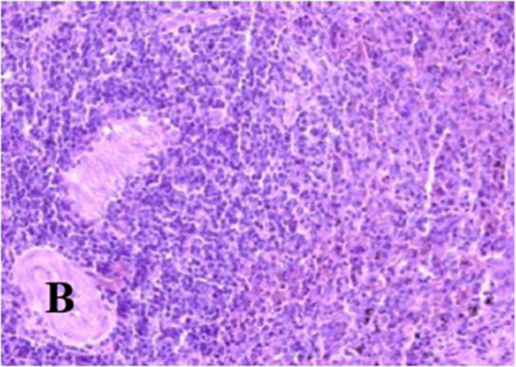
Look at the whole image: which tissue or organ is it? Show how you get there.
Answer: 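Dense sheets of small round lymphocytes with dark purple nuclei fill most of the field. Thick-walled pink arterioles lie within the lymphoid tissue. On this evidence: white pulp.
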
